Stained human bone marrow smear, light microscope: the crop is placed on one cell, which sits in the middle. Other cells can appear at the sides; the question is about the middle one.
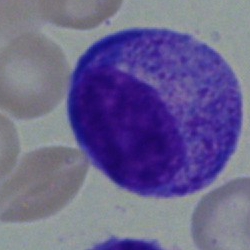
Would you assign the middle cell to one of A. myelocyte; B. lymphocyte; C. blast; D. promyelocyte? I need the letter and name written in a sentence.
In this crop the middle cell is a promyelocyte, so option D is the correct answer.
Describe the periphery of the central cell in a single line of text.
In short, the margin is smooth with no projections at all.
